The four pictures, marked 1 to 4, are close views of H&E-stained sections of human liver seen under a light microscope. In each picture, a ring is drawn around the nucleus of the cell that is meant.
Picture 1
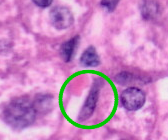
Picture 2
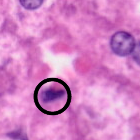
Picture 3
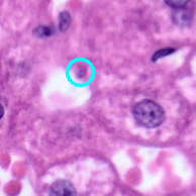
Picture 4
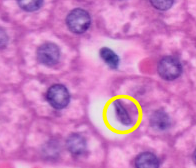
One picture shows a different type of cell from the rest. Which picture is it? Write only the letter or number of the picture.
2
